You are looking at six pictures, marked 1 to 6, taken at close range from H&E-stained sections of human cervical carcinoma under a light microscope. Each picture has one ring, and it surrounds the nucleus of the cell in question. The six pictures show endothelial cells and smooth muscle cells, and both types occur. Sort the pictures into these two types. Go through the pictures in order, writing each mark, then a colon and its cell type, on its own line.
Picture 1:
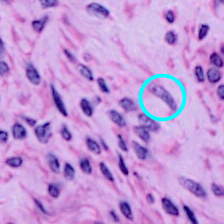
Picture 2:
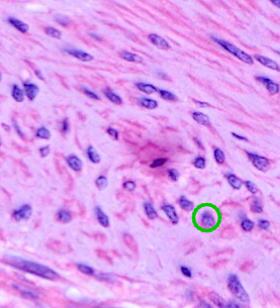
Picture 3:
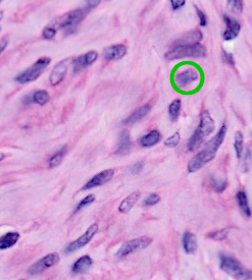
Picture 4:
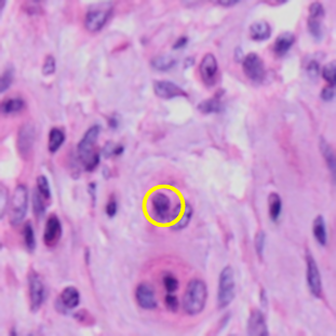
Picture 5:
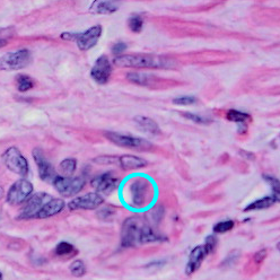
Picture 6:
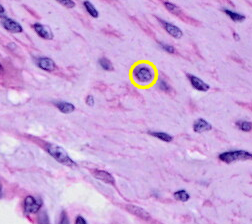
1: smooth muscle cell
2: smooth muscle cell
3: smooth muscle cell
4: endothelial cell
5: endothelial cell
6: smooth muscle cell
